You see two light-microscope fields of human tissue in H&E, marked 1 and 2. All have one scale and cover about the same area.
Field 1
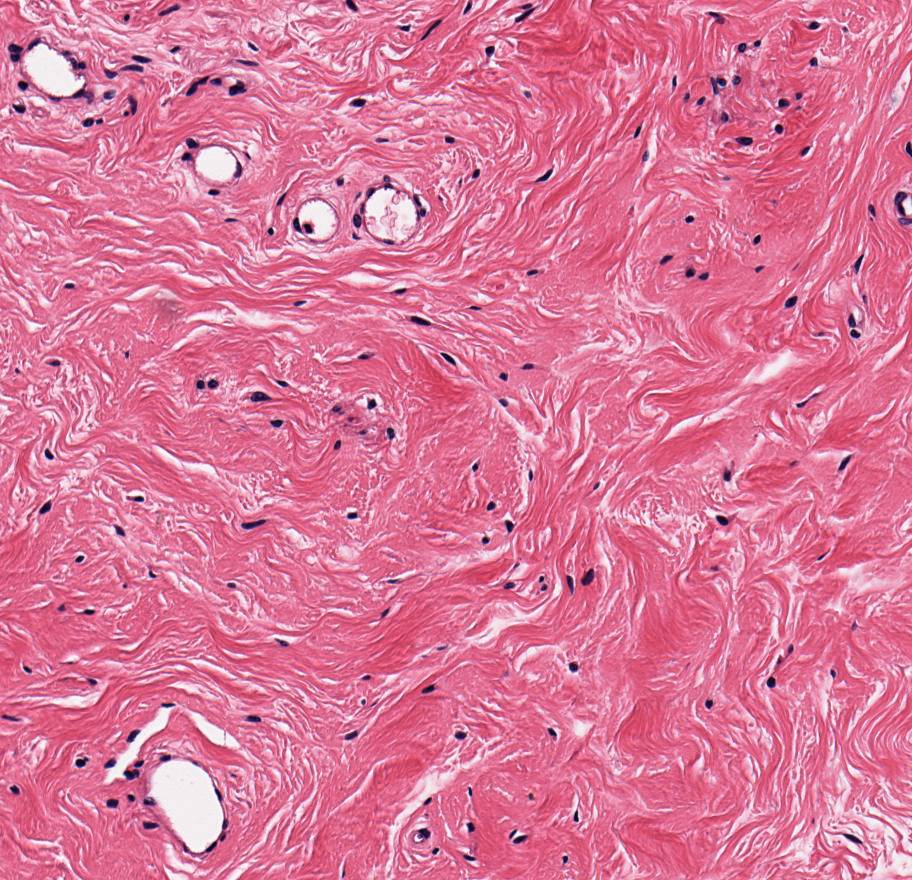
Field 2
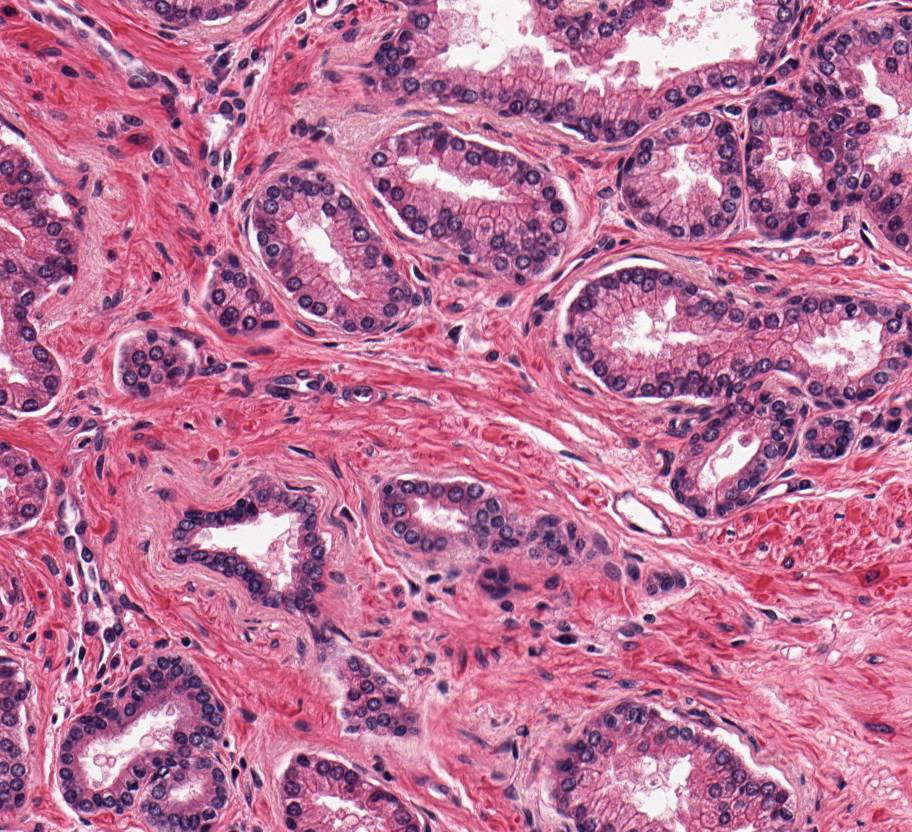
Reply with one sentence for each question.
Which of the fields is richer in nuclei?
Field 2 holds more nuclei than field 1.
